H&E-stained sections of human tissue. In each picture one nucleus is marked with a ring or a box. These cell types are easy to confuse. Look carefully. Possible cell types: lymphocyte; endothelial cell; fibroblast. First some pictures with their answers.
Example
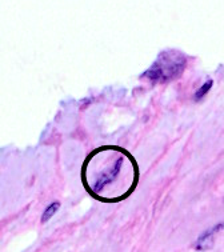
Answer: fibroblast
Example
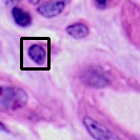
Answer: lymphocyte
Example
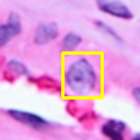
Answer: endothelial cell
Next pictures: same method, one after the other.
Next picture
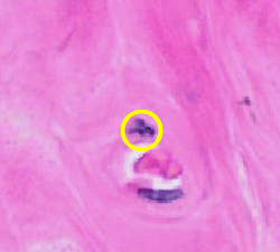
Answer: endothelial cell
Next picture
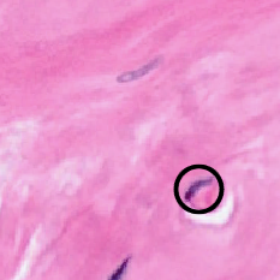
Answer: endothelial cell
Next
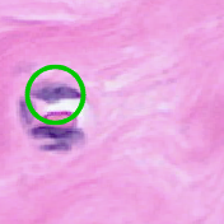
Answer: endothelial cell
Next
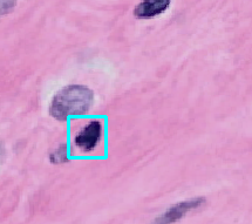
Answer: lymphocyte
